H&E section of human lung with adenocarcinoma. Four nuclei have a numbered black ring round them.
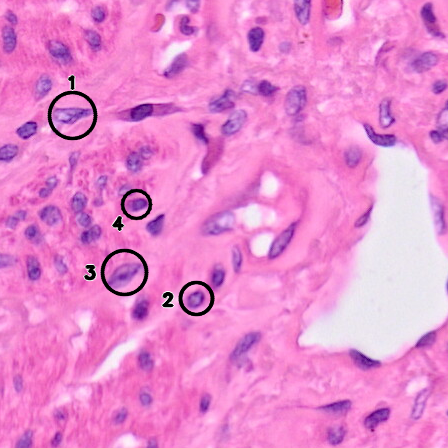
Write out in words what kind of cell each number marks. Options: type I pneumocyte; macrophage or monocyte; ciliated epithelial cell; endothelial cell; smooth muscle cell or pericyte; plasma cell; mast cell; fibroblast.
Cells 1 and 3 are fibroblasts. Cell 2 is a mast cell. Cell 4 is a smooth muscle cell or pericyte.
